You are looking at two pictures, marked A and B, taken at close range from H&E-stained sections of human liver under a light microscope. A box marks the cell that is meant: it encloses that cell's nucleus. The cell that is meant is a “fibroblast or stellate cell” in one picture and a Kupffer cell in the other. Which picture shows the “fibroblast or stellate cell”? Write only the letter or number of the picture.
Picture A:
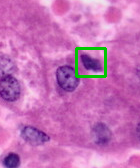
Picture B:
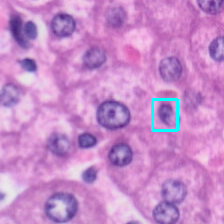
A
